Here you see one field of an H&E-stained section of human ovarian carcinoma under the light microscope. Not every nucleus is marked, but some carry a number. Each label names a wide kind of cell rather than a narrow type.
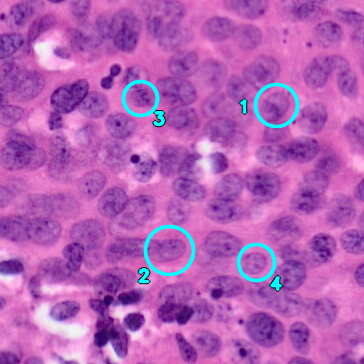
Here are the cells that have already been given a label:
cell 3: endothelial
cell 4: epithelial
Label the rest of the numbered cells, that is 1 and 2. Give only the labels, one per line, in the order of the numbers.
epithelial
endothelial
